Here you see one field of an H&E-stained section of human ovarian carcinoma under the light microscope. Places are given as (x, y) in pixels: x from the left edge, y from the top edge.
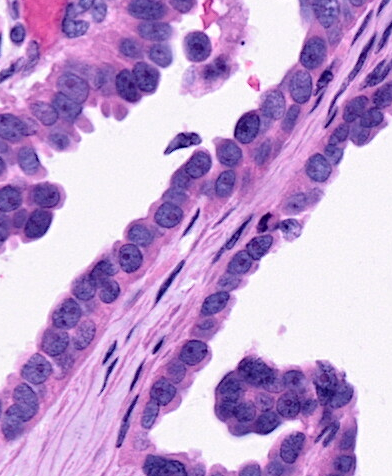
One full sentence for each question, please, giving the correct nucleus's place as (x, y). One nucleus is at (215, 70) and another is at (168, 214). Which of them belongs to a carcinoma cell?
Heads up, the nucleus at (168, 214) is the one that belongs to a carcinoma cell.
